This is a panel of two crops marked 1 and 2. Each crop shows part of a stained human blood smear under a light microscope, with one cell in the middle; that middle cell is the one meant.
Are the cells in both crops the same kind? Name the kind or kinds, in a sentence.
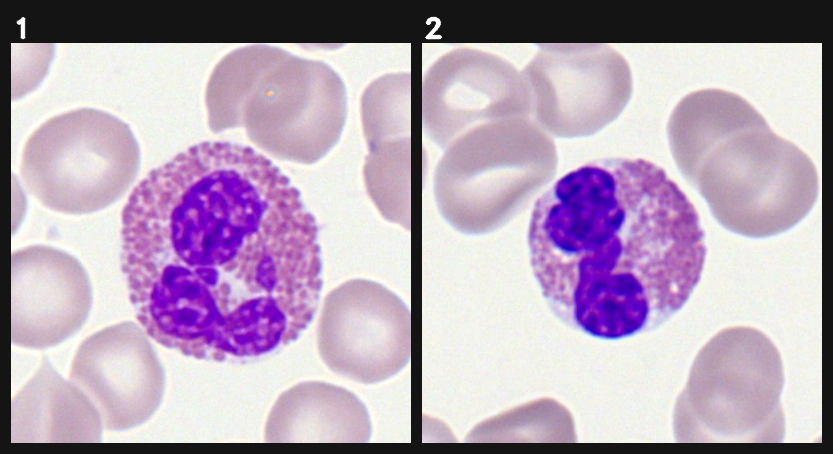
Yes, the cells centred in the two crops are both eosinophils.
